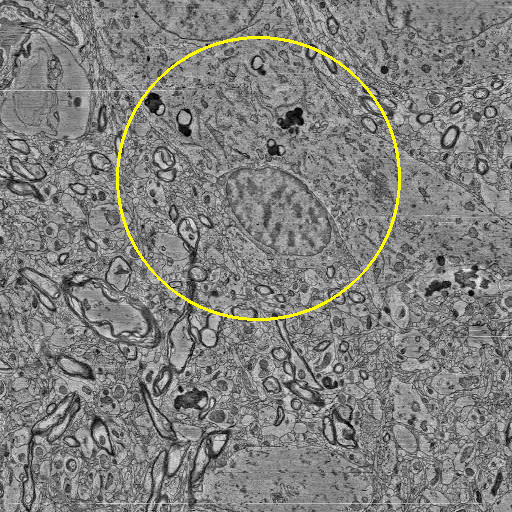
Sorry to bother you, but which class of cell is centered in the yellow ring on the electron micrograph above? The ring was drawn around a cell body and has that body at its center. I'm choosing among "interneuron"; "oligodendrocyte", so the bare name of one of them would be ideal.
oligodendrocyte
